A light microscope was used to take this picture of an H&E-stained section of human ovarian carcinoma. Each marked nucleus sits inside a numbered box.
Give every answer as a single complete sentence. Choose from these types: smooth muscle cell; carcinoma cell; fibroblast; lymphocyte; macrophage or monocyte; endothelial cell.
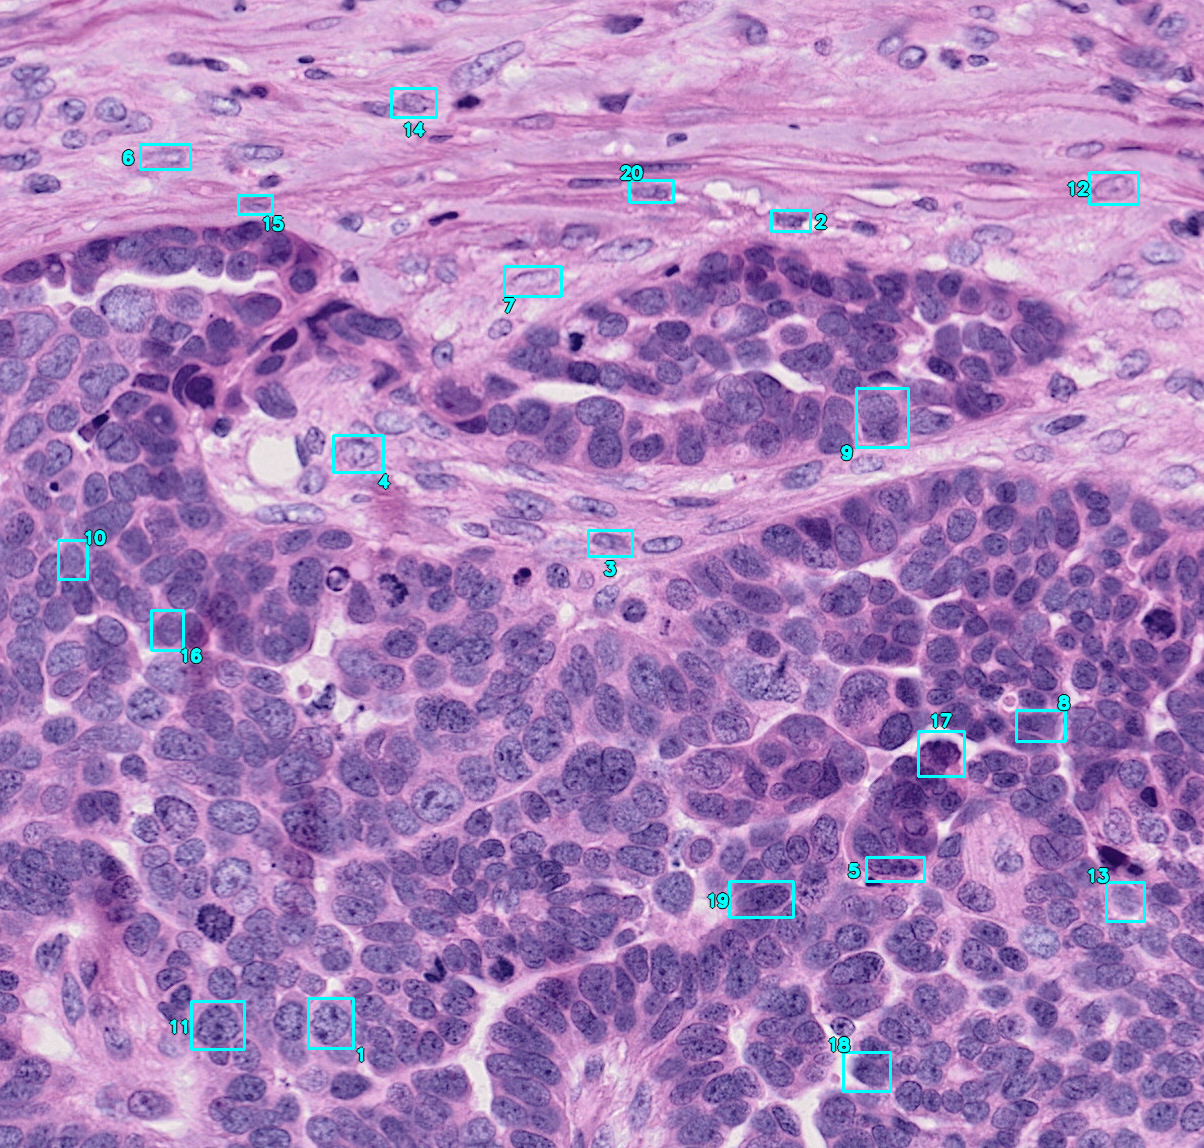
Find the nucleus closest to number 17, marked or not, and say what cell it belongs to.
The cell nearest to number 17 is a carcinoma cell.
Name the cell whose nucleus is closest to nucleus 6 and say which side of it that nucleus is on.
The nearest one is a fibroblast, found above and to the left of nucleus 6.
